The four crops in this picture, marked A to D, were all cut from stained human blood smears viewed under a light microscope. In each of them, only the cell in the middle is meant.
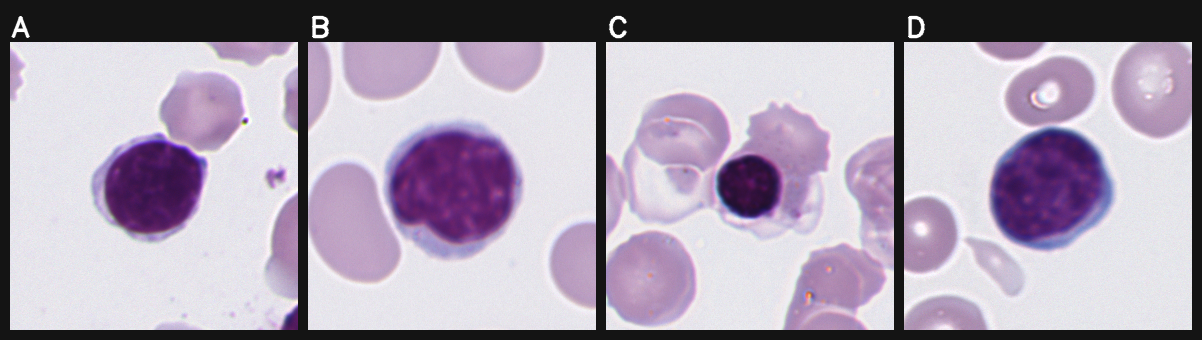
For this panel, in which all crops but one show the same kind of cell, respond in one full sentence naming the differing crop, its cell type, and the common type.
All of the other crops show typical lymphocytes; crop C, by contrast, is a normoblast.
